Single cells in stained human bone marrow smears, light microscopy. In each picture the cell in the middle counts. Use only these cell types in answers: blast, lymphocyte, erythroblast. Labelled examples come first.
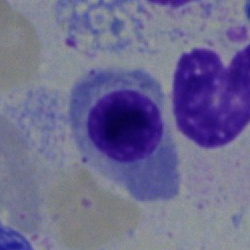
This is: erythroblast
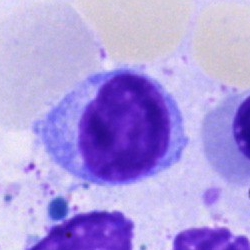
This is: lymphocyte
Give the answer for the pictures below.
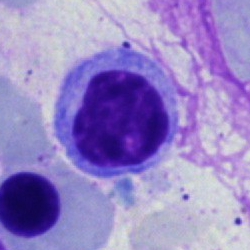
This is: lymphocyte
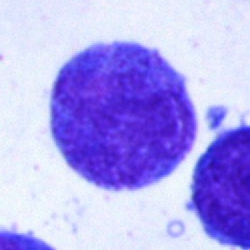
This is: blast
